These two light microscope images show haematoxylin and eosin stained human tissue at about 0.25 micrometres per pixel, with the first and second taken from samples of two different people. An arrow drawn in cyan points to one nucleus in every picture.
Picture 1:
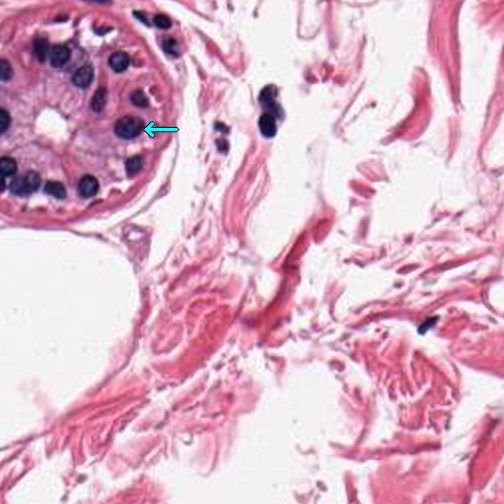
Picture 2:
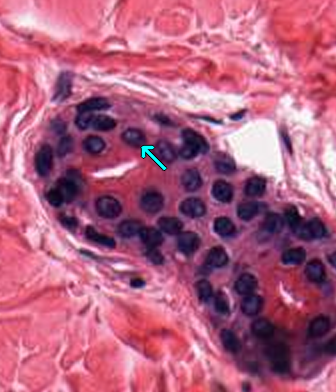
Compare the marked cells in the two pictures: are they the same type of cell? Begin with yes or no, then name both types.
Yes, both are sweat gland cells.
